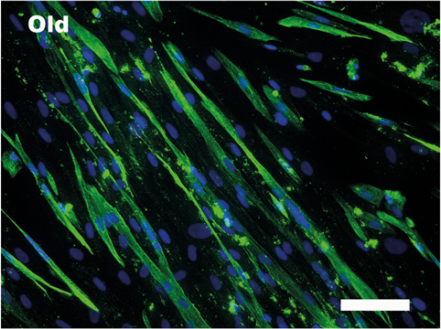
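The myotubes are slender and spindle-shaped, with green cytoplasm, and run roughly parallel to one another diagonally across the field. Oval blue nuclei are strung out along the length of many of these thin cells. Between the myotubes lie scattered blue nuclei and small bright green fragments or clumps. No broad, wide myotubes are seen in this field.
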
